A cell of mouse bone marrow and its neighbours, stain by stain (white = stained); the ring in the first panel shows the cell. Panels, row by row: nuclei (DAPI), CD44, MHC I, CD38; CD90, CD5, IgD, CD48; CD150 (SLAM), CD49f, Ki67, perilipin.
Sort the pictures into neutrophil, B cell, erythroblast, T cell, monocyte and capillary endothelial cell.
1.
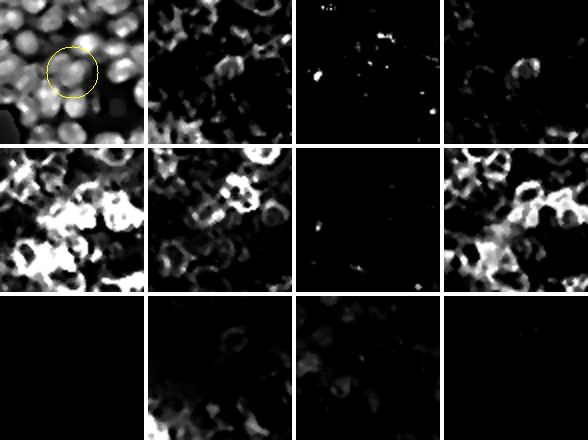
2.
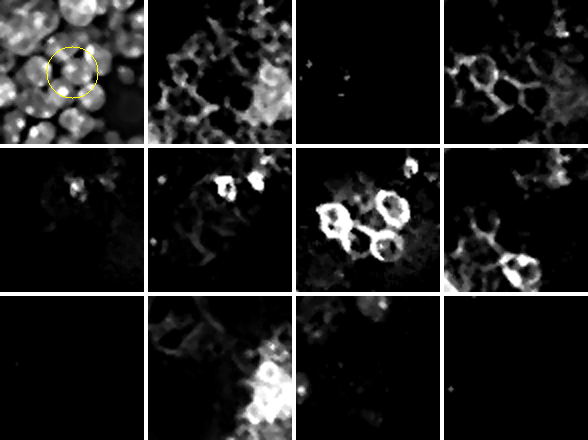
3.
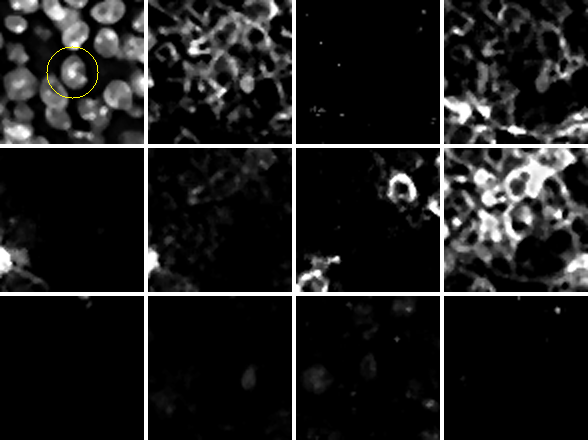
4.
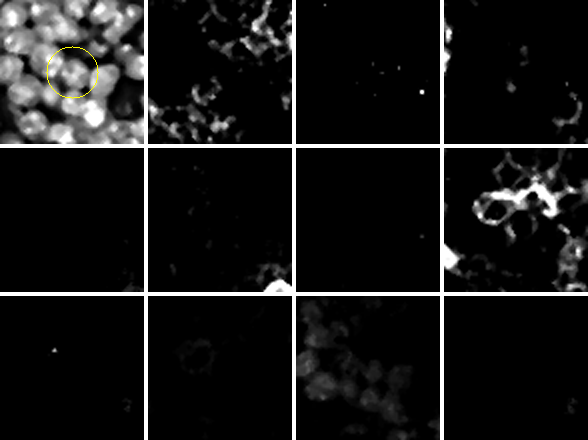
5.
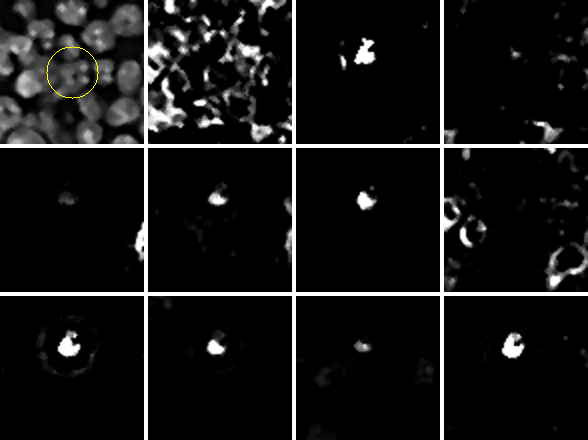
T cells: 1
B cells: 2
Monocytes: 3
Erythroblasts: 4
Neutrophils: 5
